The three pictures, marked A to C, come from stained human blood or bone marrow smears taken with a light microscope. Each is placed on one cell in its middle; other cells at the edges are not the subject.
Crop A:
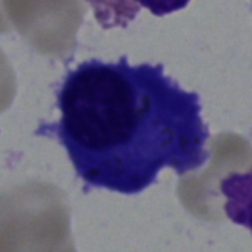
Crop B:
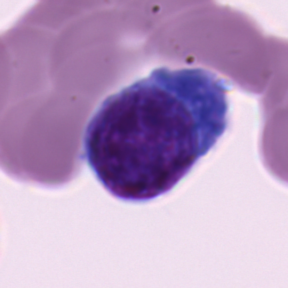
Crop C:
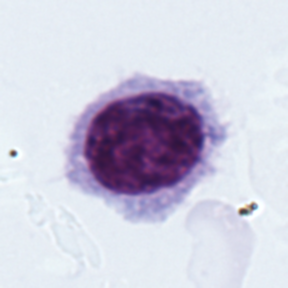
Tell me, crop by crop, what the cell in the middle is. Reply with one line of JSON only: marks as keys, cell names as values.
{"A": "plasma cell", "B": "plasma cell", "C": "hairy cell"}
